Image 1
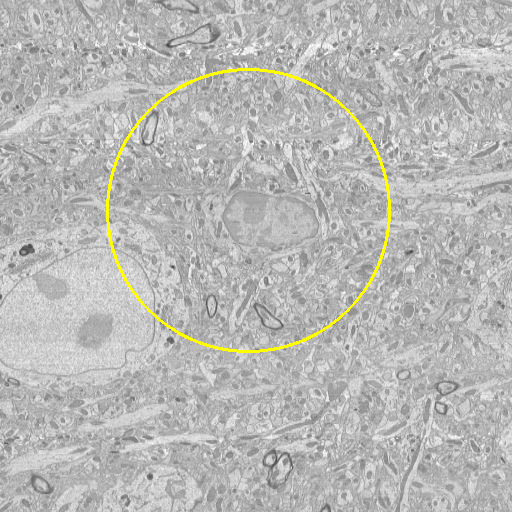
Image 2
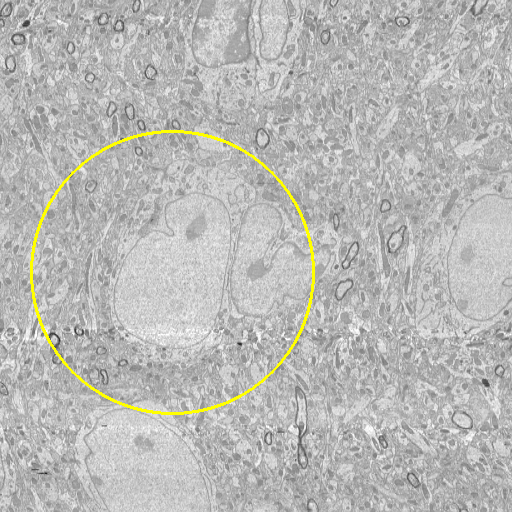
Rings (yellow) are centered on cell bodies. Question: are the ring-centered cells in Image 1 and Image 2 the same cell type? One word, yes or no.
no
